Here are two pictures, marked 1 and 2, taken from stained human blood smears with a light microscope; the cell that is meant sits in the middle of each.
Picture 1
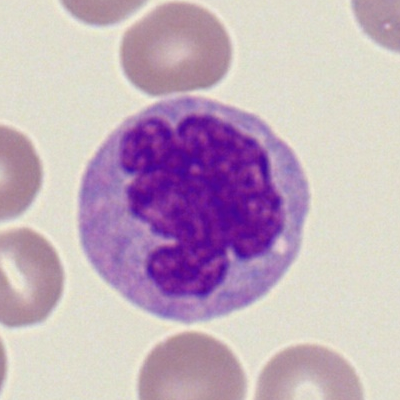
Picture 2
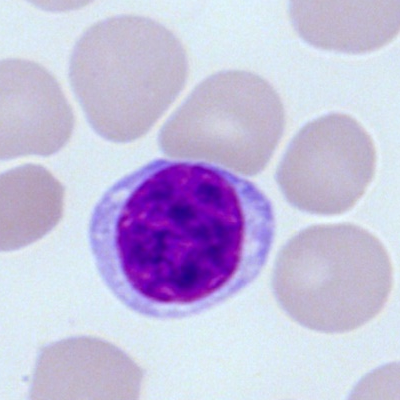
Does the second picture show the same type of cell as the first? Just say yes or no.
no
